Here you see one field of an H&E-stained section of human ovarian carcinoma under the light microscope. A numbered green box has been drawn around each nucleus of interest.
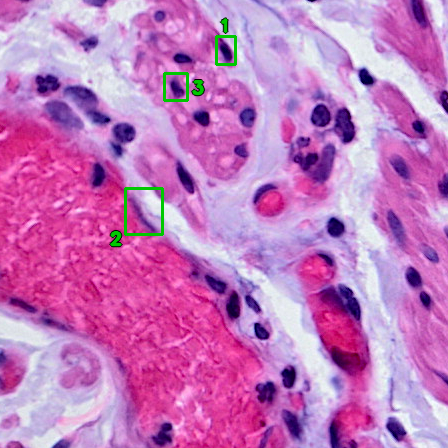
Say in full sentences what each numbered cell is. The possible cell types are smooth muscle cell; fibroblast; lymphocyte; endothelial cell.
Cells 1 and 3 are smooth muscle cells. Cell 2 is an endothelial cell.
